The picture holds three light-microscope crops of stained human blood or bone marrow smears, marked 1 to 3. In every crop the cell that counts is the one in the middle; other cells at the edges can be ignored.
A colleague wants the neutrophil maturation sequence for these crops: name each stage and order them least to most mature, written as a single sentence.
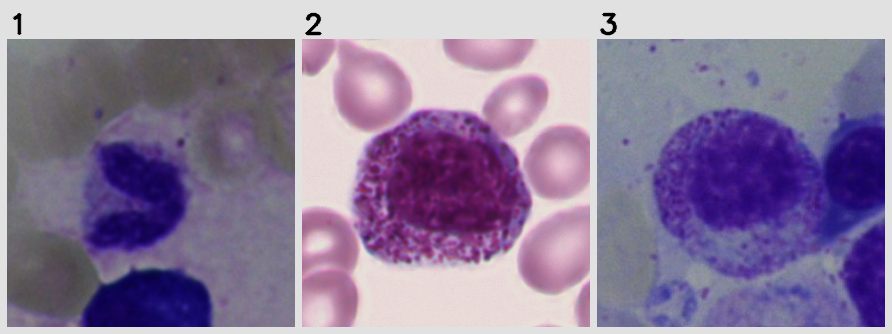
Along the maturation pathway, from earliest to latest, the order is crop 2 (a promyelocyte), crop 3 (a myelocyte) and crop 1 (a band neutrophil).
